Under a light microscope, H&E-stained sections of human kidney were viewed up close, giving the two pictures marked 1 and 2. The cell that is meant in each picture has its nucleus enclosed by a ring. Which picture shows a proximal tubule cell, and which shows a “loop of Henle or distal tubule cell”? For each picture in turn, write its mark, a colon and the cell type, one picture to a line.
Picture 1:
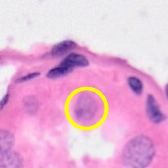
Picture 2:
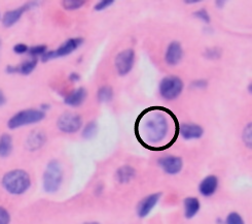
1: proximal tubule cell
2: loop of Henle or distal tubule cell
